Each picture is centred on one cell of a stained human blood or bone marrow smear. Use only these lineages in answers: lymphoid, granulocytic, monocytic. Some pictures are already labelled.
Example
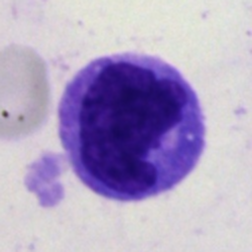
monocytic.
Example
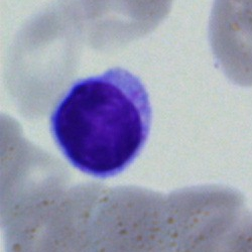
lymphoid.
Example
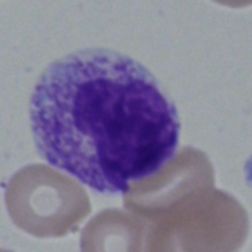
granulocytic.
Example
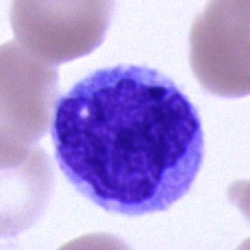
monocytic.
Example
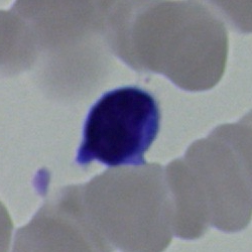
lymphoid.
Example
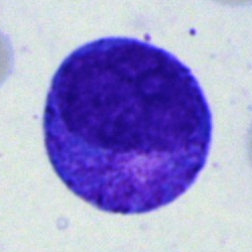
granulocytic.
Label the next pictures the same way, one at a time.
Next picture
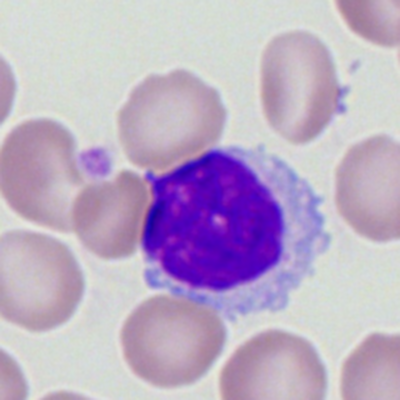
lymphoid.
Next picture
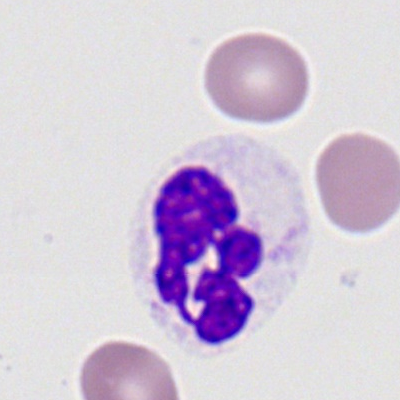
granulocytic.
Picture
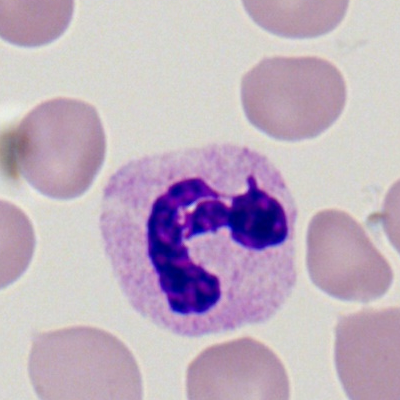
granulocytic.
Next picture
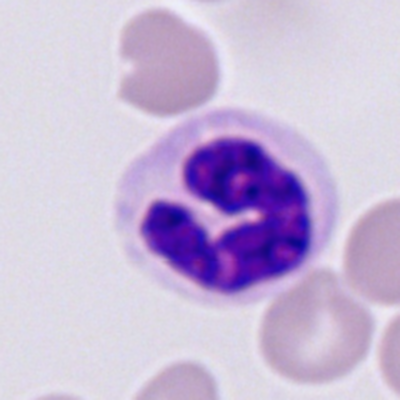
granulocytic.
